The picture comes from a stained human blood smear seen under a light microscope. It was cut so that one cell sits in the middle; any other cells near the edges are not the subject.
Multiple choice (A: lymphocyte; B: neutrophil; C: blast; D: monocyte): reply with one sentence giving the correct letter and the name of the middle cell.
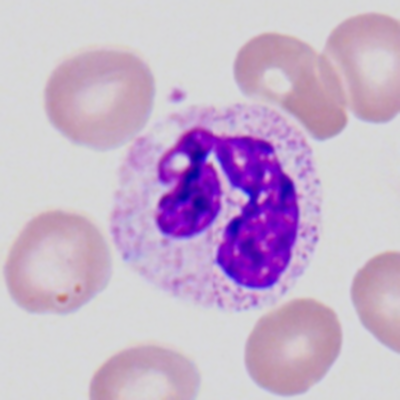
As the central cell is a neutrophil, option B is correct.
